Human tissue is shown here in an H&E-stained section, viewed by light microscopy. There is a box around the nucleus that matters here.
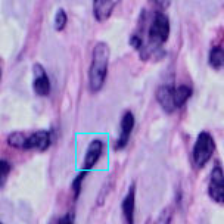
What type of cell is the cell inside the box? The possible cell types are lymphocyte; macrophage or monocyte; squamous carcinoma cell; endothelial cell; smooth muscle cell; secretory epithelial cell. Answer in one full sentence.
Speaking plainly, the cell inside the box is nothing other than a lymphocyte.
